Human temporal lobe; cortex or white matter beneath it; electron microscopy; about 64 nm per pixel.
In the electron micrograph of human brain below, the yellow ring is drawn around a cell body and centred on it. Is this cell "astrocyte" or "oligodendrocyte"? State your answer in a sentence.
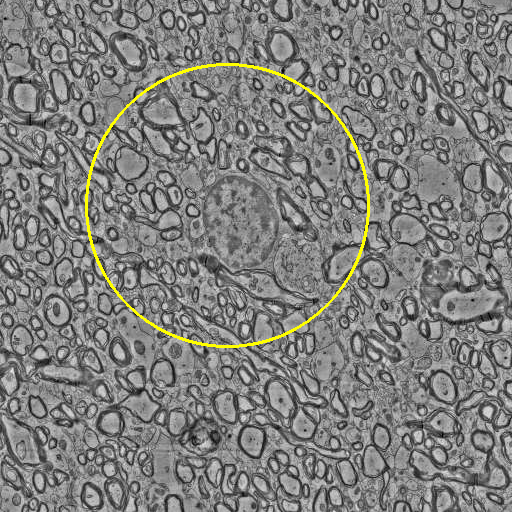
The cell in the middle of the ring is an oligodendrocyte.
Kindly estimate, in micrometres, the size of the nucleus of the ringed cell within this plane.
The nucleus of the ringed cell is approximately 6 by 5 micrometres in this plane.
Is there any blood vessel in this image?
No, no blood vessel can be seen.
